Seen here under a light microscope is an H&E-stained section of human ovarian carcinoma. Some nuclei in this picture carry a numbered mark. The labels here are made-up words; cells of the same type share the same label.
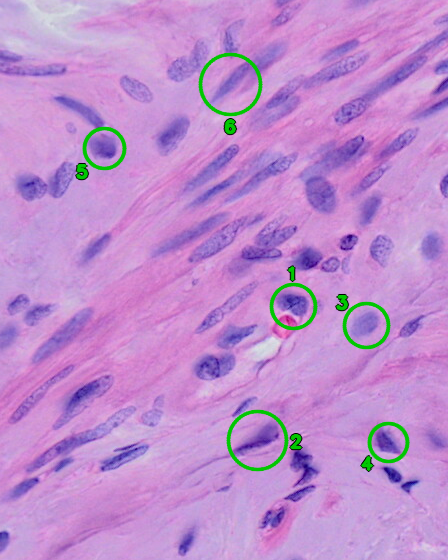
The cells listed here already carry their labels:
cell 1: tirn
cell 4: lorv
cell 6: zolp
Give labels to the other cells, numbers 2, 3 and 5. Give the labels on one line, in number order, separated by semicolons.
lorv; lorv; lorv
